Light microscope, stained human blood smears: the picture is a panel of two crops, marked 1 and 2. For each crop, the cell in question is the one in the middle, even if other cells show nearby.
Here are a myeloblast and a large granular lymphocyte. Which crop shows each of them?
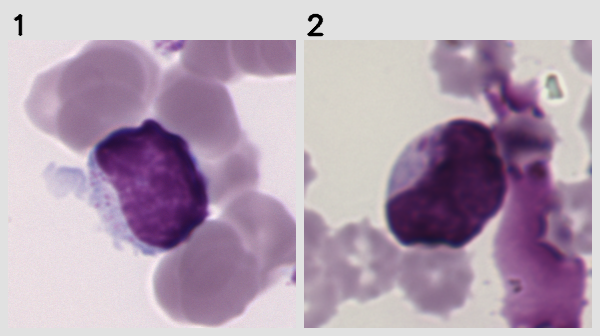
1: large granular lymphocyte
2: myeloblast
